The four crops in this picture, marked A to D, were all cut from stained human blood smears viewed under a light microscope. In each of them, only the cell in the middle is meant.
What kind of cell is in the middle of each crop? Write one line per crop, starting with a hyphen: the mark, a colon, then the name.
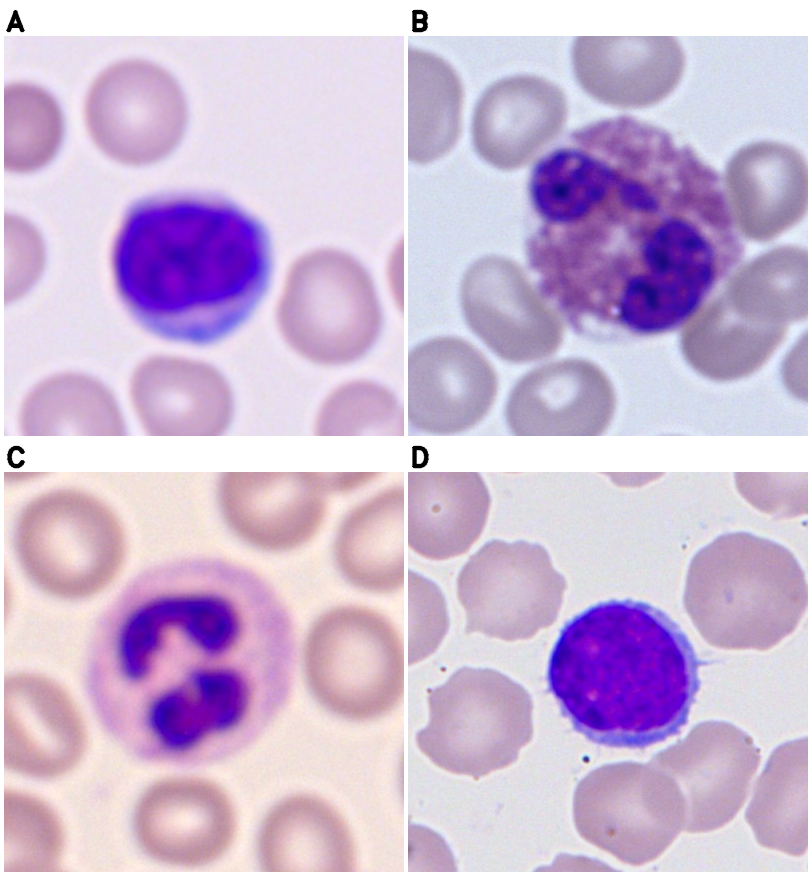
- A: lymphocyte
- B: eosinophil
- C: neutrophil
- D: lymphocyte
